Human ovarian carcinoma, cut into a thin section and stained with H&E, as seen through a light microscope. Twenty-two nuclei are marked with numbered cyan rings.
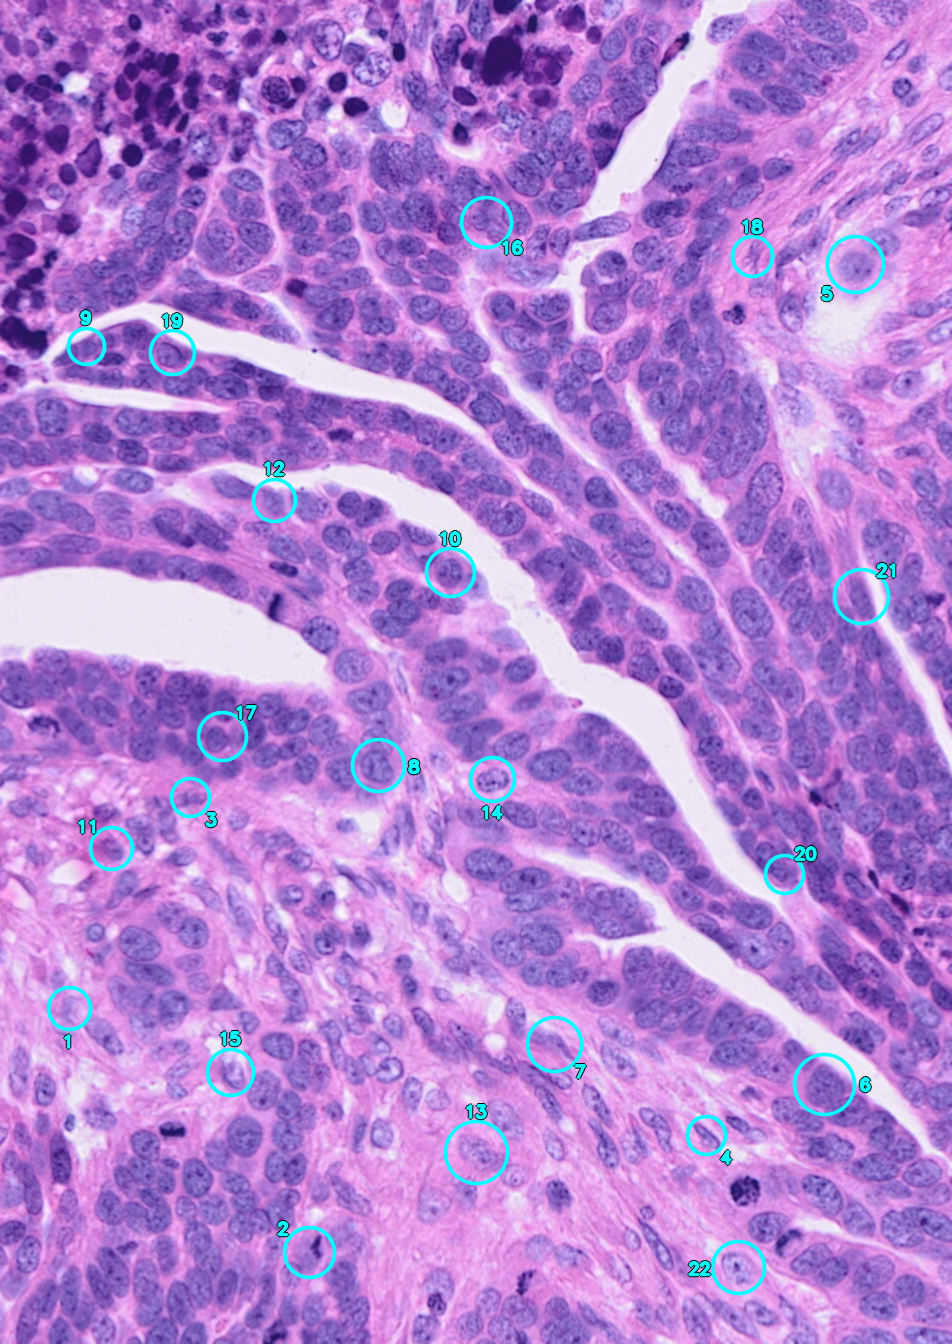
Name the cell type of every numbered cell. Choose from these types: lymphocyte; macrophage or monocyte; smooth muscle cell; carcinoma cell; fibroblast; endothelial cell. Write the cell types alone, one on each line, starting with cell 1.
fibroblast
carcinoma cell
fibroblast
fibroblast
carcinoma cell
carcinoma cell
fibroblast
carcinoma cell
carcinoma cell
carcinoma cell
macrophage or monocyte
carcinoma cell
fibroblast
macrophage or monocyte
fibroblast
carcinoma cell
carcinoma cell
fibroblast
carcinoma cell
carcinoma cell
carcinoma cell
fibroblast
